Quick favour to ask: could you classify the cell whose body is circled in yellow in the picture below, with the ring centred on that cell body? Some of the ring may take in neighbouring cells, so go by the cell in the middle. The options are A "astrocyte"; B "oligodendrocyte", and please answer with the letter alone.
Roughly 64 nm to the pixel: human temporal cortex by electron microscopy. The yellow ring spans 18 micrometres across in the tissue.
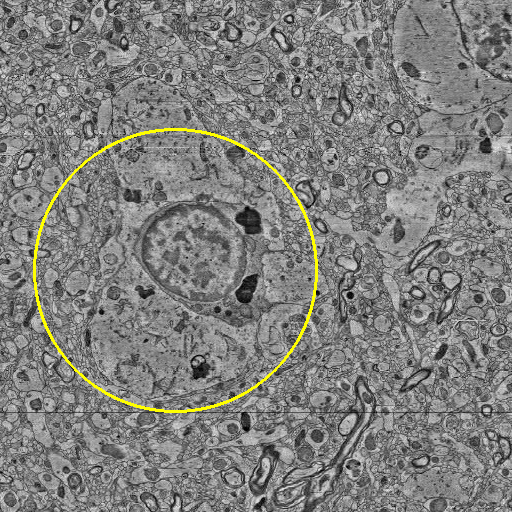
B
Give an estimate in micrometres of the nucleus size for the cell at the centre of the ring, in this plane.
The nucleus is approximately 6 micrometers across in this plane.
